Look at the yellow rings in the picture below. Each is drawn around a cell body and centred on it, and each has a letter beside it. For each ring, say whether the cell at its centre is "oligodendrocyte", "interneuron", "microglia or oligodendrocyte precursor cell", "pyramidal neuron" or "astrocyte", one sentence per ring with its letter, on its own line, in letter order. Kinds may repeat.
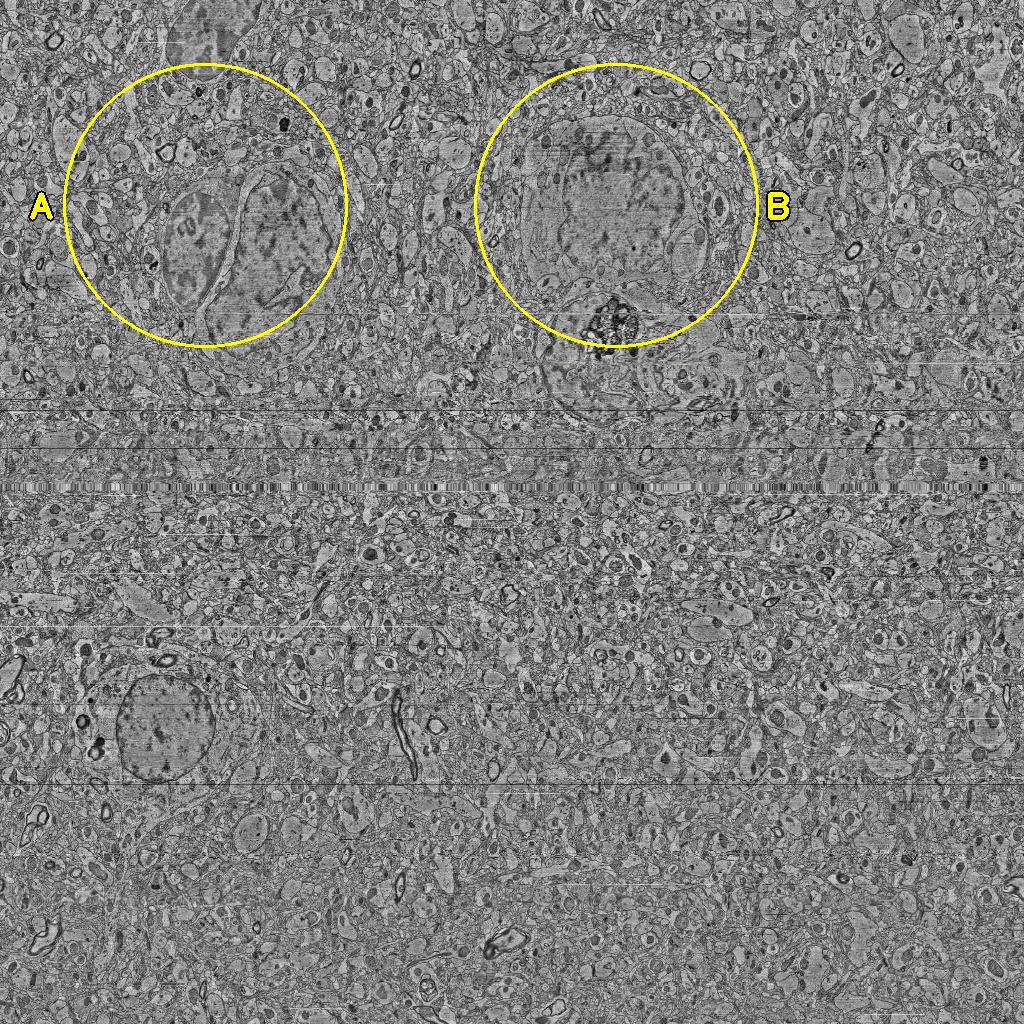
The centred cell of ring A is an oligodendrocyte.
The centred cell of ring B is an interneuron.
